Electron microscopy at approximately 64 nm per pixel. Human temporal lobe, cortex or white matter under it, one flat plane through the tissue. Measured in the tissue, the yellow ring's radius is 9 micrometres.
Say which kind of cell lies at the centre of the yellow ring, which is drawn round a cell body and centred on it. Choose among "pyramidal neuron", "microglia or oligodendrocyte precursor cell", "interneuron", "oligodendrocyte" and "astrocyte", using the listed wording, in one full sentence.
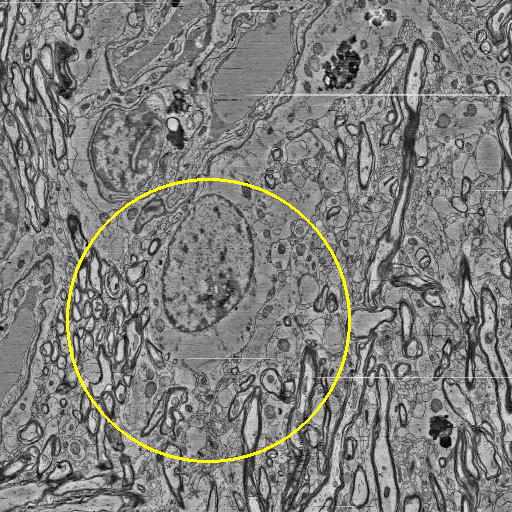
Going by the list, the cell at the yellow ring's centre is an astrocyte.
